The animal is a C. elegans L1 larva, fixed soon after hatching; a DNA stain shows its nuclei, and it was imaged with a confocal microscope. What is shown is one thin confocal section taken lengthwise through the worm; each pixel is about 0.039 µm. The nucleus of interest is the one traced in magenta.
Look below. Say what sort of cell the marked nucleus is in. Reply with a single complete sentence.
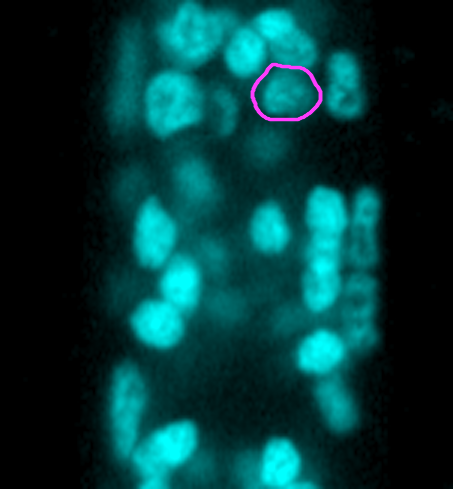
This is the nucleus of a pharyngeal muscle cell.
